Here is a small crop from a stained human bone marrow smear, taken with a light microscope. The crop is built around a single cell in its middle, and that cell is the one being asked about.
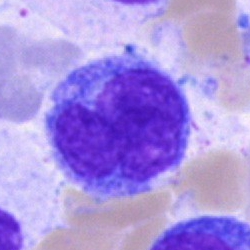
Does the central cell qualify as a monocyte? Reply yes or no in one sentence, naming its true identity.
Yes, the cell centred in the field of view is a monocyte.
